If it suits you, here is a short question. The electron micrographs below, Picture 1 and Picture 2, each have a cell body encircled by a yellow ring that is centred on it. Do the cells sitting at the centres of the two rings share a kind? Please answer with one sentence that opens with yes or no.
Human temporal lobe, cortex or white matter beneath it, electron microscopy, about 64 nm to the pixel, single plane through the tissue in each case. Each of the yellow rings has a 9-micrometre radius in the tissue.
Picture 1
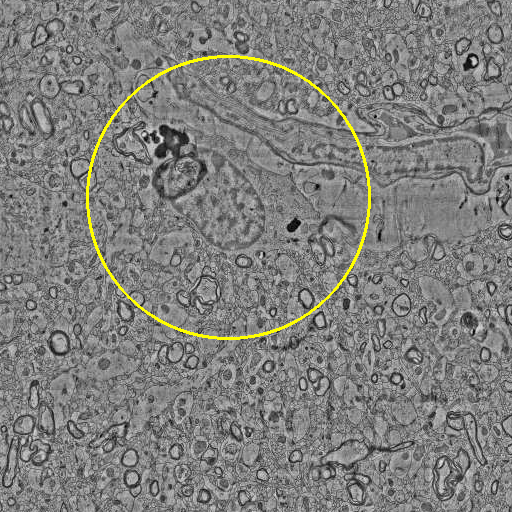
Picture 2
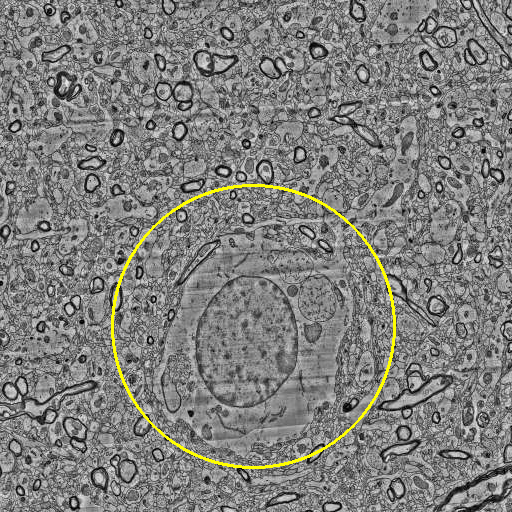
No, the two cells sitting at the ring centres fall into two kinds.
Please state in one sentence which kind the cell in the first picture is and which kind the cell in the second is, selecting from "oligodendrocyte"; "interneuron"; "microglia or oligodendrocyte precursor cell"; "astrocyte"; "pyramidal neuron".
The first ringed cell is an oligodendrocyte, the second ringed cell an astrocyte.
